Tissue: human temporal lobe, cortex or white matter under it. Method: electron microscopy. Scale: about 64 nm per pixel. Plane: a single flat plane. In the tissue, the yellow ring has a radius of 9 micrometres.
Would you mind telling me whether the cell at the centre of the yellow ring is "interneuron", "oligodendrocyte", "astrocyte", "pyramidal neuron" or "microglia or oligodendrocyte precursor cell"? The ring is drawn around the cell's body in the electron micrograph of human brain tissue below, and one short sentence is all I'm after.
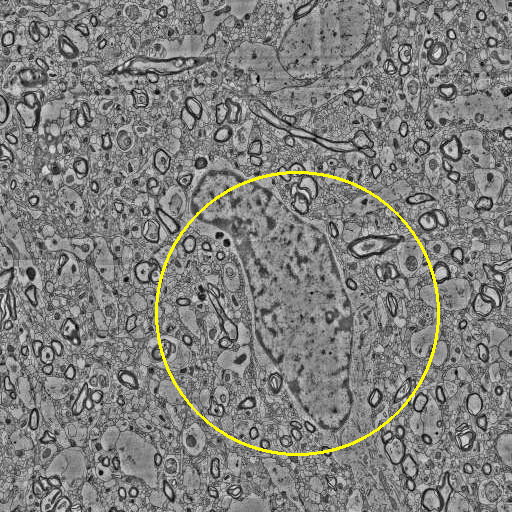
In the centre of the ring lies a microglial cell or oligodendrocyte precursor cell.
